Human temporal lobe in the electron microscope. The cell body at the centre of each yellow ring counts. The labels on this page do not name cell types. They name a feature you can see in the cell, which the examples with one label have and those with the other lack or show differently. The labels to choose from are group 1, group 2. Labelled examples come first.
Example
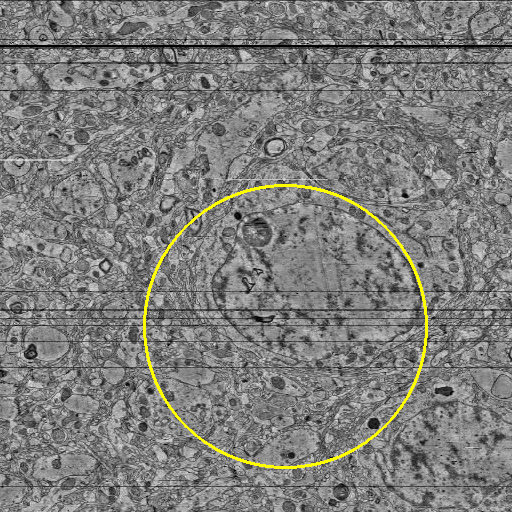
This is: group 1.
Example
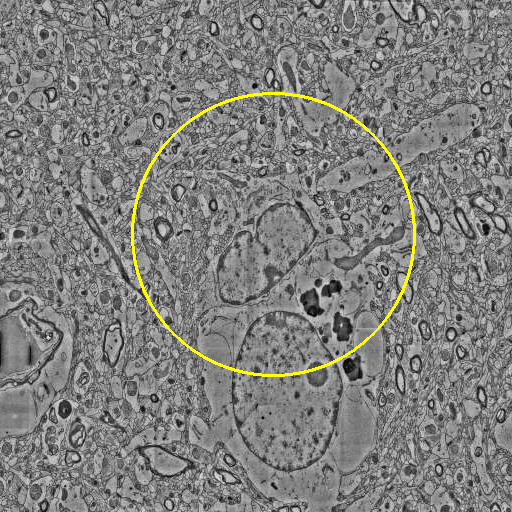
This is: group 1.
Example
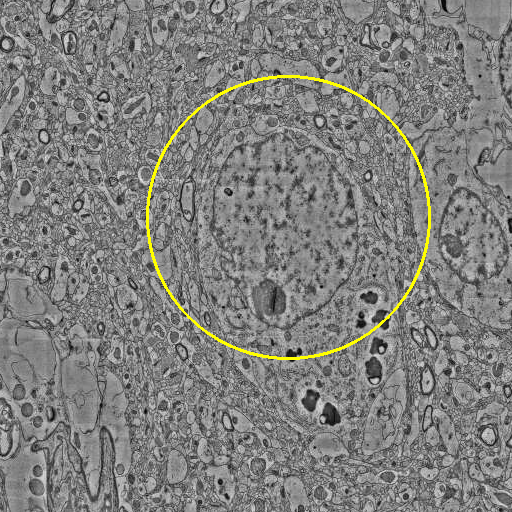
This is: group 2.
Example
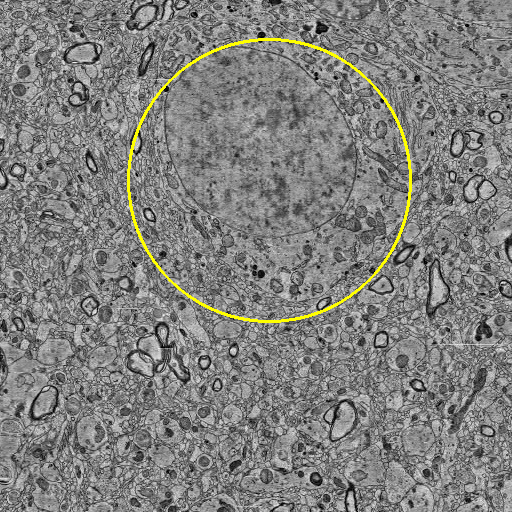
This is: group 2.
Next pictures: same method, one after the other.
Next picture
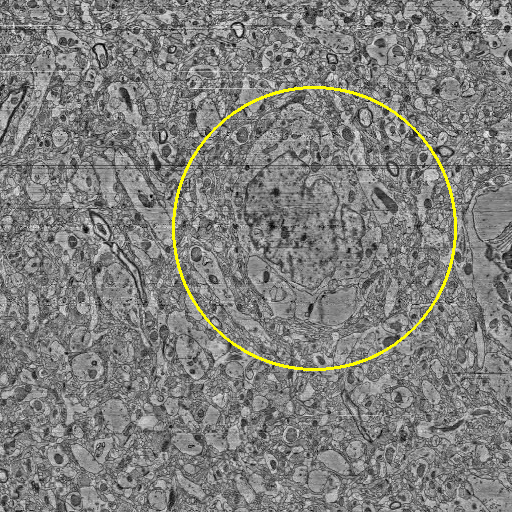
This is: group 1.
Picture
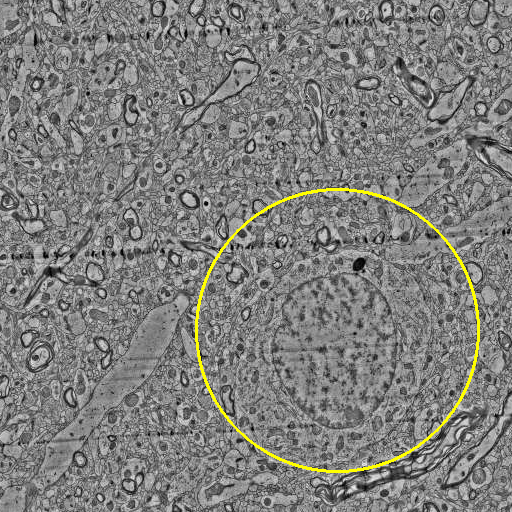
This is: group 2.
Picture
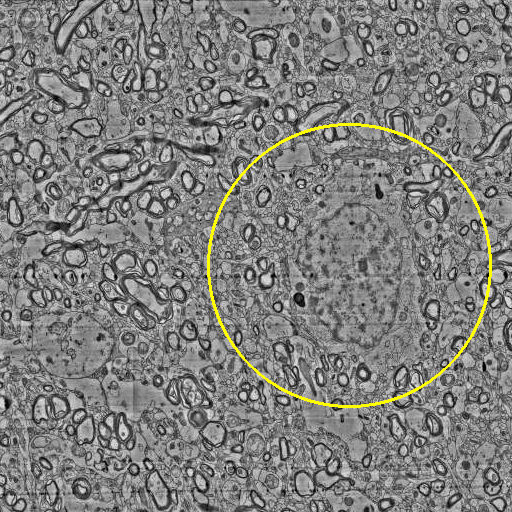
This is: group 2.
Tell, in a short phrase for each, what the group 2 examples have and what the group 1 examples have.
group 2: smooth nuclear envelopes without deep folds; group 1: deeply folded or indented nuclear envelopes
